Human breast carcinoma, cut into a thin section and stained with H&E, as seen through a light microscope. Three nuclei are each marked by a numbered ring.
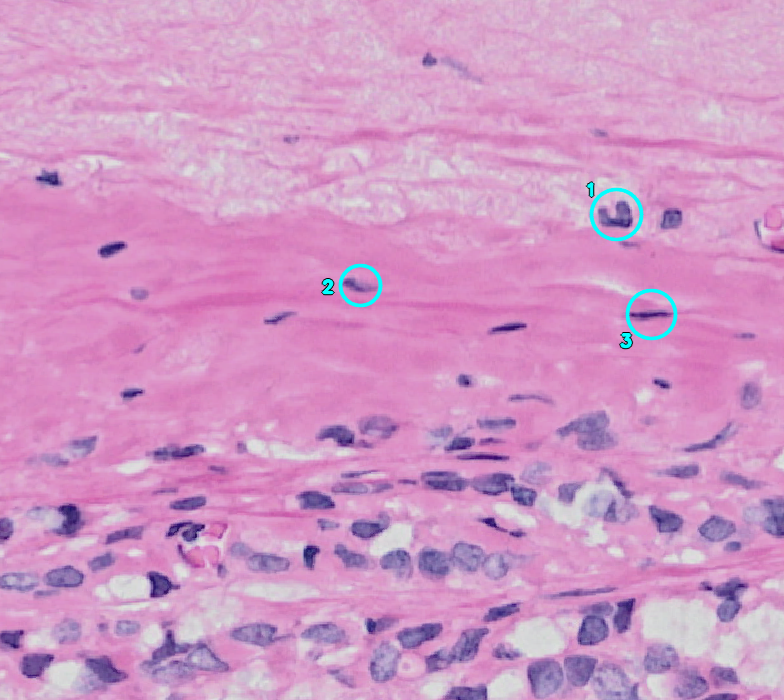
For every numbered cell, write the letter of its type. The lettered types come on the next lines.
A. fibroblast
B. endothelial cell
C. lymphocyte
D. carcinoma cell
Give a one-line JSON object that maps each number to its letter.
{"1": "C", "2": "A", "3": "A"}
